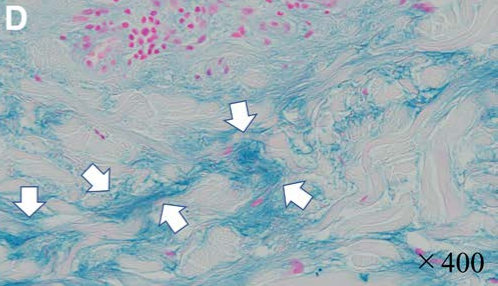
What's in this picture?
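Dermis in which pale collagen bundles are separated by wispy, light-blue material that collects in the spaces between them. Scattered pink nuclei lie among the fibres, with a denser group of pink nuclei near the top of the field.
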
